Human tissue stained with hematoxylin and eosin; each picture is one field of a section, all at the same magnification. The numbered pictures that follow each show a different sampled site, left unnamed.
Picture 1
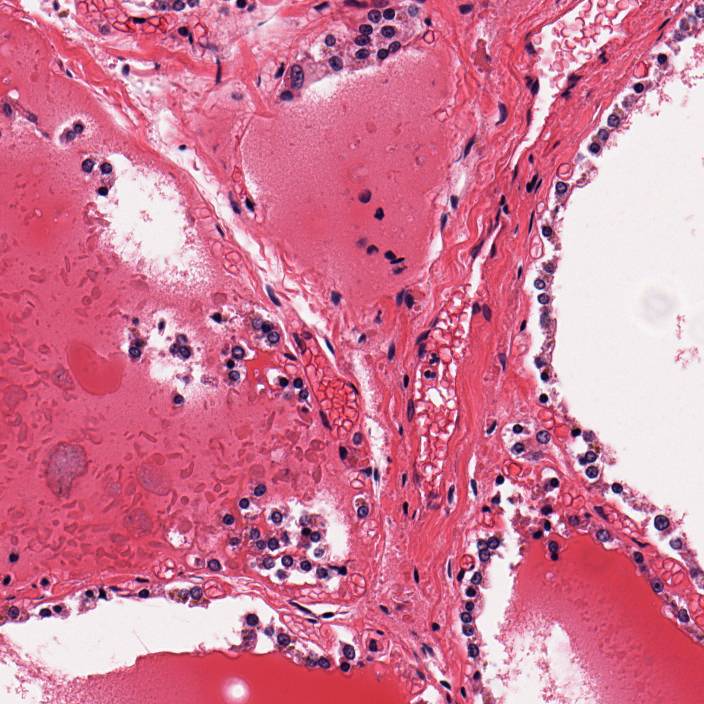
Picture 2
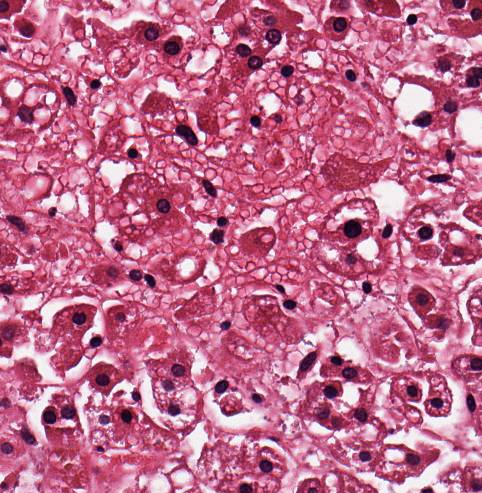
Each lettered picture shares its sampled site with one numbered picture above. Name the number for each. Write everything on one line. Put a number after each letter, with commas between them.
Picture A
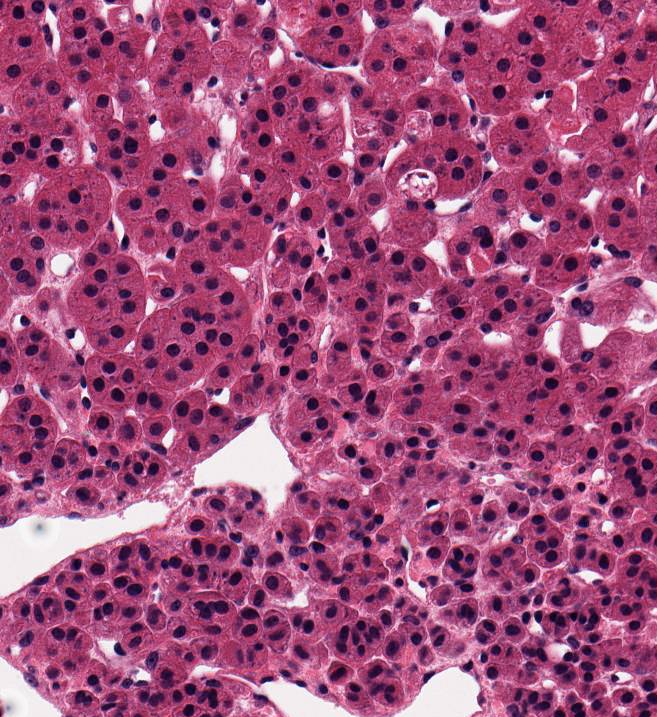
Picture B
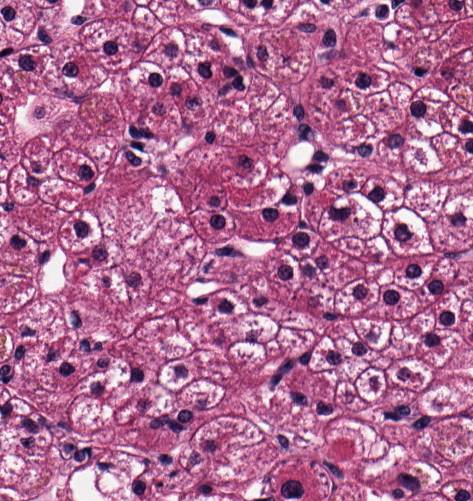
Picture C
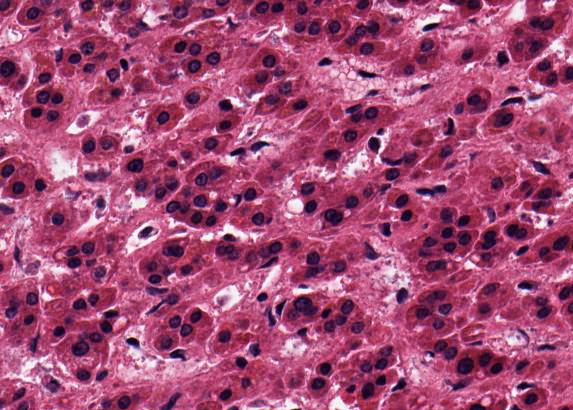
A 2, B 2, C 2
